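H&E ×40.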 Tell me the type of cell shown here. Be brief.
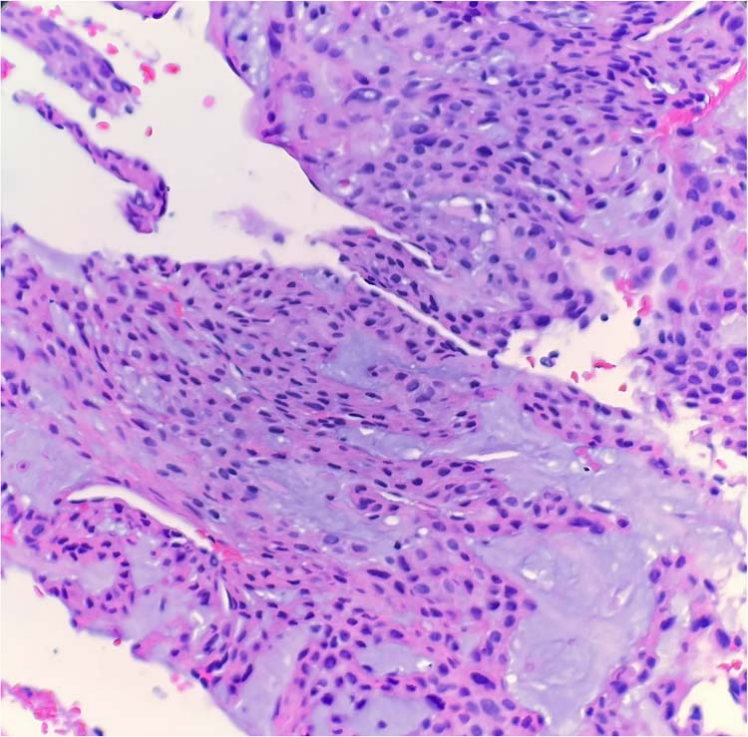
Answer: epithelioid bland tumor cells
